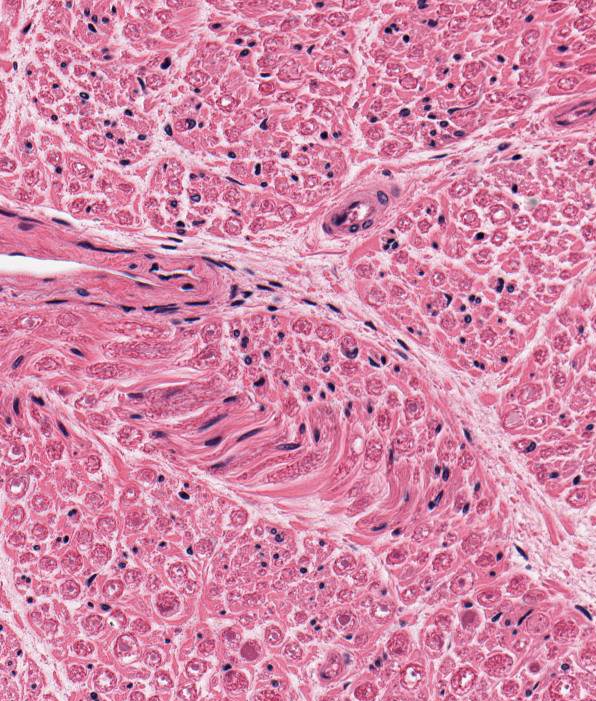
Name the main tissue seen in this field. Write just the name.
nerve fascicle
